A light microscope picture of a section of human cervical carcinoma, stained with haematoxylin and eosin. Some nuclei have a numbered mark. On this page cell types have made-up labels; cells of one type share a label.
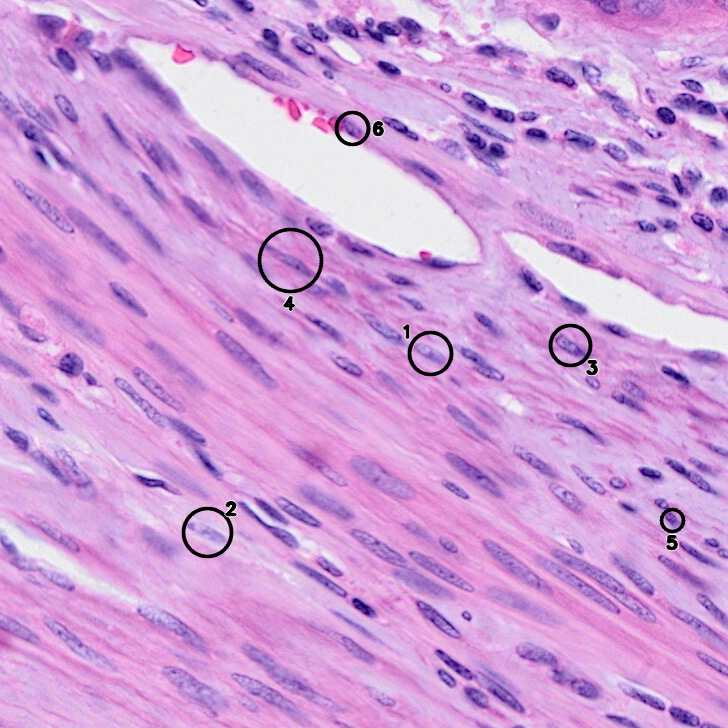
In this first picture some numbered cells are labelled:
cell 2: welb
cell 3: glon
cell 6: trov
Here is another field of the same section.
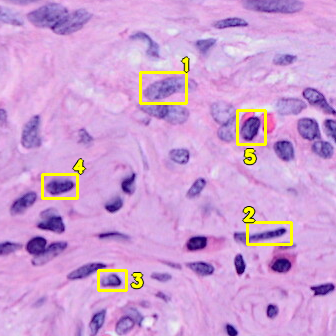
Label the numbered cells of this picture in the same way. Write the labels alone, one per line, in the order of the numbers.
glon
welb
welb
welb
trov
